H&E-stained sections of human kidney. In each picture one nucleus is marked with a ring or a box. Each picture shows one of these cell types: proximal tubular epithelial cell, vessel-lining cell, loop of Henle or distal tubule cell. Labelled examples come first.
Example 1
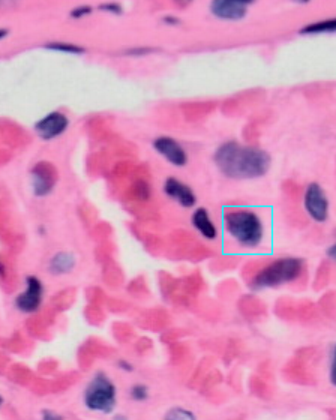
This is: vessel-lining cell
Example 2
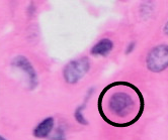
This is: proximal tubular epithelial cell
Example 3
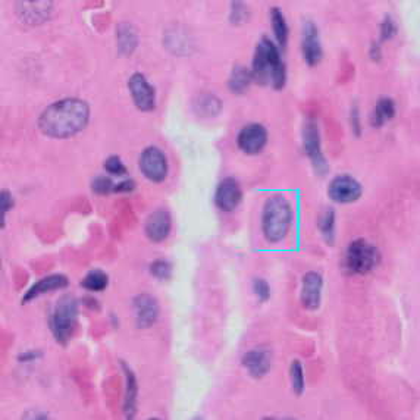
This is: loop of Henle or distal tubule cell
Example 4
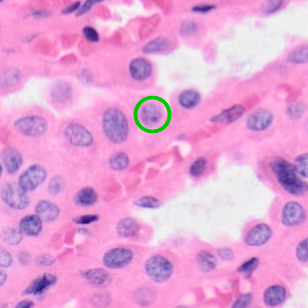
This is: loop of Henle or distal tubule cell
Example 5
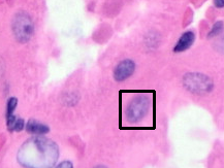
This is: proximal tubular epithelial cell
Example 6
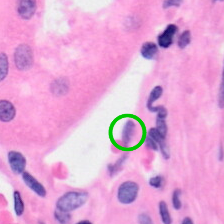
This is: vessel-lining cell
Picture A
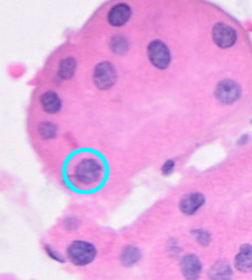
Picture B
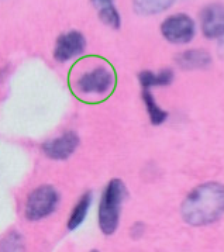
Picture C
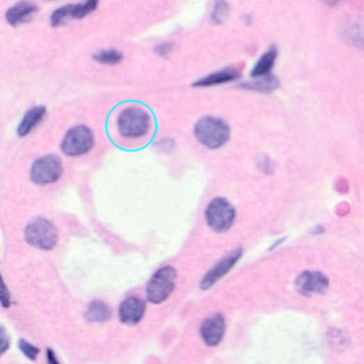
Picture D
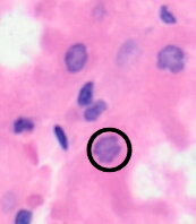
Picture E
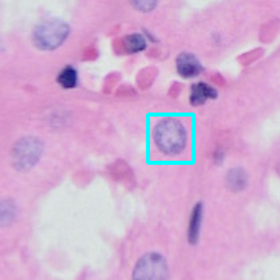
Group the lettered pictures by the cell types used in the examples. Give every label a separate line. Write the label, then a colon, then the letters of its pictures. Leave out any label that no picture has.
proximal tubular epithelial cell: A, D, E
loop of Henle or distal tubule cell: B, C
